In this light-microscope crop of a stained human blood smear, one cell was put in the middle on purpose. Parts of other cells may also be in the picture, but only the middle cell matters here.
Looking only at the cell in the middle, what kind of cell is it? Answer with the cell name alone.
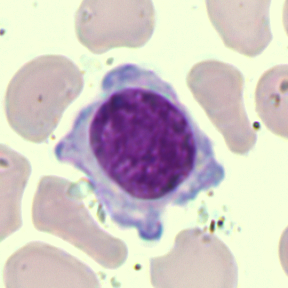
plasma cell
